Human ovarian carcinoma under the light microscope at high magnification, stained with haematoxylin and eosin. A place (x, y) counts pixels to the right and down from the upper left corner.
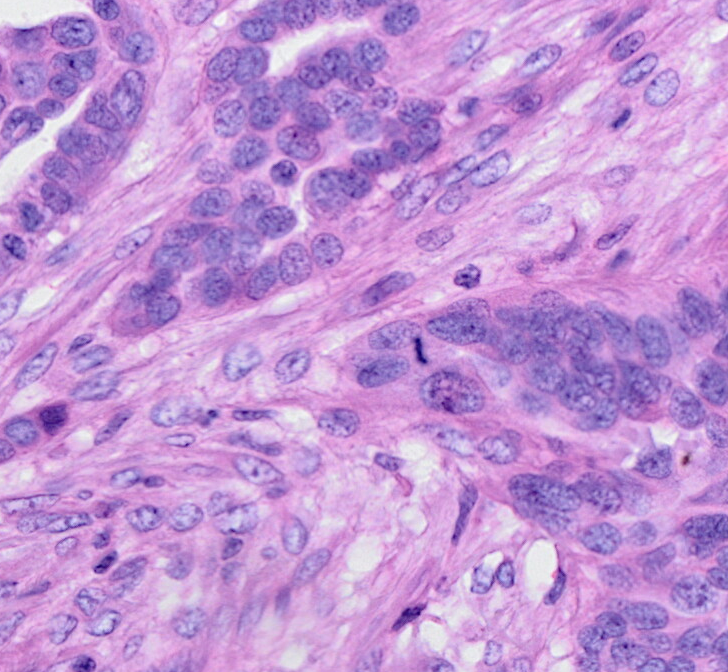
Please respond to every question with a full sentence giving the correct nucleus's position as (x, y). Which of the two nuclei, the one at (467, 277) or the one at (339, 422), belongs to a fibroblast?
Of the two nuclei, the nucleus belonging to a fibroblast is located at (339, 422).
